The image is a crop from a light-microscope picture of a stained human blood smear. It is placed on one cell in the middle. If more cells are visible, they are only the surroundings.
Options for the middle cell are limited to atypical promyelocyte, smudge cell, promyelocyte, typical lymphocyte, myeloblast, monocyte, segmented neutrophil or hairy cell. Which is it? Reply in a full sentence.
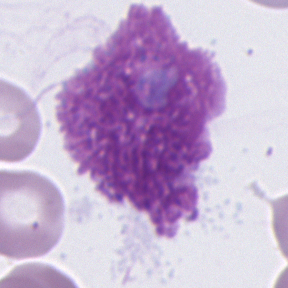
The cell of interest, in the center, is a smudge cell.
